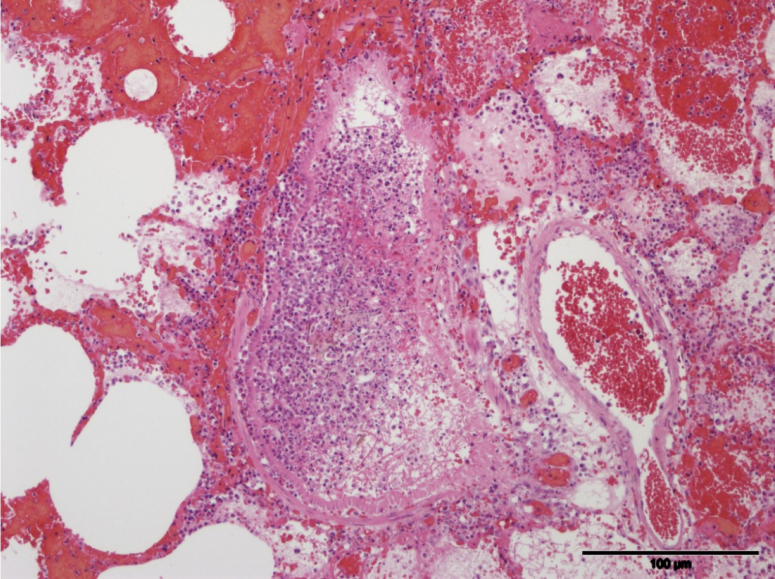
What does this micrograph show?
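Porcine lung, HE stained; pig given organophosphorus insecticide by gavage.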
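Many air spaces are packed with bright red blood cells, while others contain pale pink fluid with scattered cells. In the centre lies a bronchiole whose lumen is crowded with small inflammatory cells with dark nuclei mixed with pink fibrillar fibrin. The bronchiole lacks an intact epithelial lining, with only a thin pink wall surrounding the contents. Beside it a blood vessel with a thin wall is filled with red blood cells, and a few air spaces at the left remain empty.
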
